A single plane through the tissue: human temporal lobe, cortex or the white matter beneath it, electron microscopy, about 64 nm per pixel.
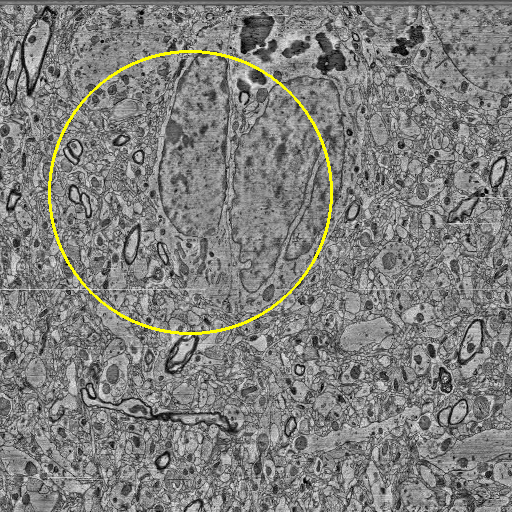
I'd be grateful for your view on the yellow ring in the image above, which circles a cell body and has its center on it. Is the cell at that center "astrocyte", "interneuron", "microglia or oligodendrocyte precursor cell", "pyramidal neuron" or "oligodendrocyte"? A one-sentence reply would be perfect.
The cell at the center of the yellow ring is a microglial cell or oligodendrocyte precursor cell.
